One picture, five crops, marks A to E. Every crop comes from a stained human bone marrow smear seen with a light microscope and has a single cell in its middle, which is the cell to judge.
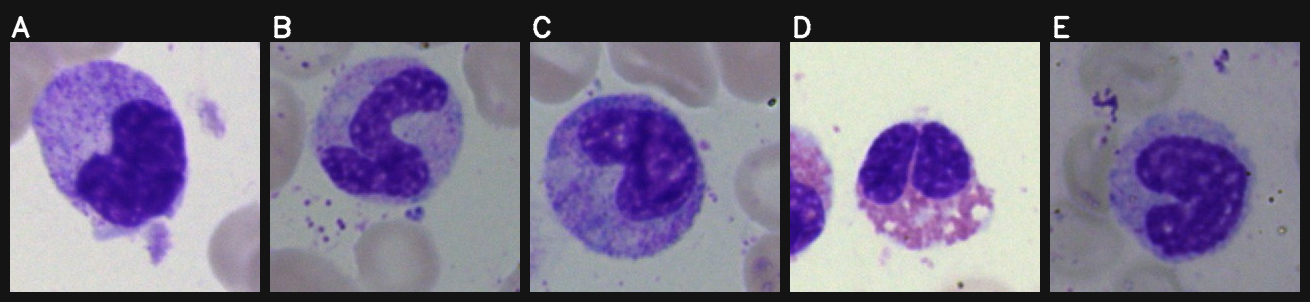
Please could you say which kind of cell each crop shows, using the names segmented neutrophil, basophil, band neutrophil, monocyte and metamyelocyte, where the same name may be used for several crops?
A: band neutrophil
B: band neutrophil
C: metamyelocyte
D: basophil
E: band neutrophil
